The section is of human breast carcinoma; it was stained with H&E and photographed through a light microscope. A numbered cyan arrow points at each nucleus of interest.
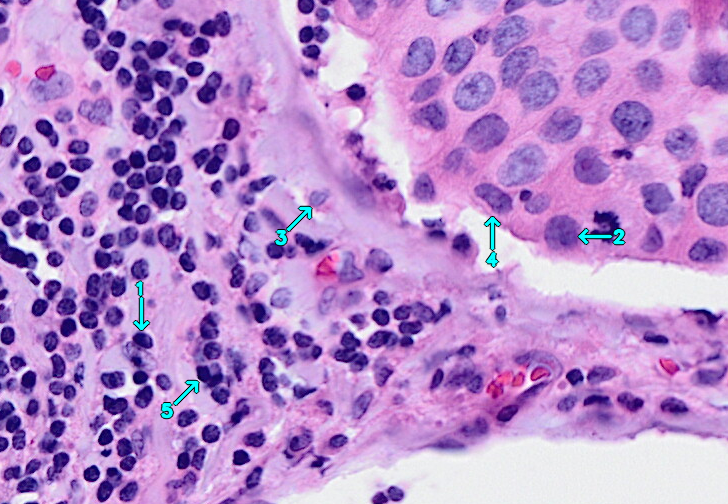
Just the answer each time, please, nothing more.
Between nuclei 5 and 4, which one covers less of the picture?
5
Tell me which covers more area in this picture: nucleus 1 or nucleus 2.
2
